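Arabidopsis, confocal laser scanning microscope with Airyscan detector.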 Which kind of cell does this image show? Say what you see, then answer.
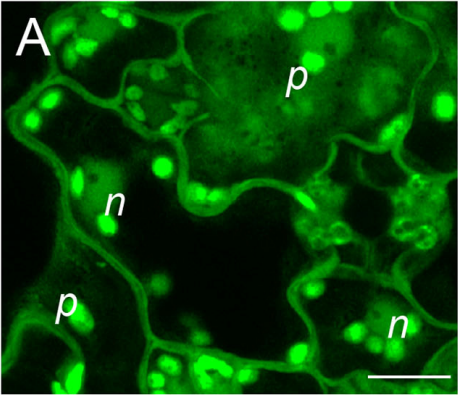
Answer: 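Cells have wavy, interlocking jigsaw-like outlines. A single flat layer of large cells with big dark vacuoles. Bright green oval bodies sit in a thin cytoplasm along the walls.
Conclusion: Pavement cells of leaf epidermis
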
